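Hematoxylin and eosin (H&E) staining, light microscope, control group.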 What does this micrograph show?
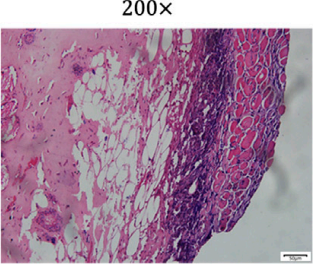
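A broad central zone of loose, pale pink, fibrillar connective tissue is broken up by irregular clear spaces. A few small round vessel profiles lie within it. Along one side runs a dense band crowded with small dark purple nuclei, the cells packed closely together. Next to this band lies a layer of rounded and polygonal pink profiles with sharp outlines, resembling fibres cut in cross section.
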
